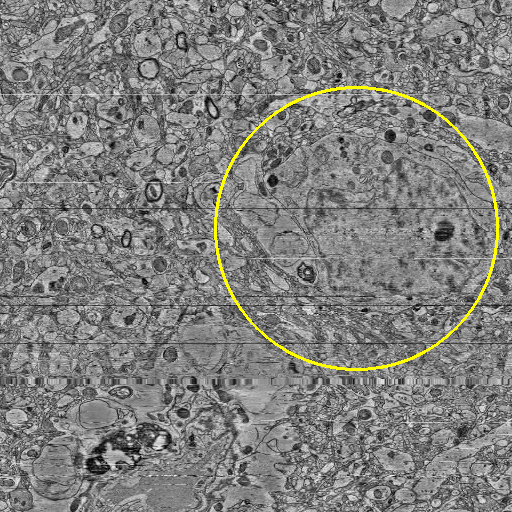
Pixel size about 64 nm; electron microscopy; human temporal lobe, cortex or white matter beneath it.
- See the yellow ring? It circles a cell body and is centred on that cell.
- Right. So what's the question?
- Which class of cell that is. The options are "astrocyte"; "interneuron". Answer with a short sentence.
The centre of the ring holds an interneuron.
